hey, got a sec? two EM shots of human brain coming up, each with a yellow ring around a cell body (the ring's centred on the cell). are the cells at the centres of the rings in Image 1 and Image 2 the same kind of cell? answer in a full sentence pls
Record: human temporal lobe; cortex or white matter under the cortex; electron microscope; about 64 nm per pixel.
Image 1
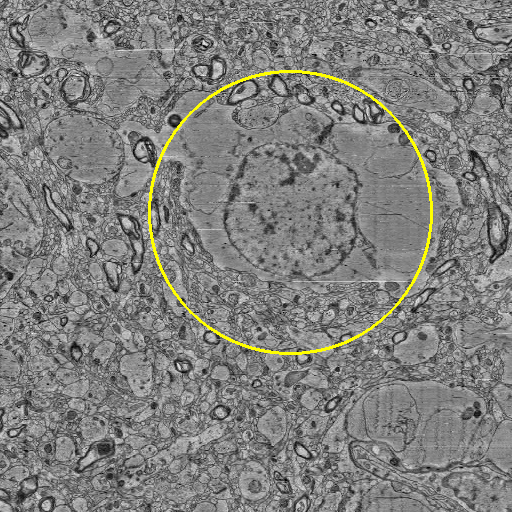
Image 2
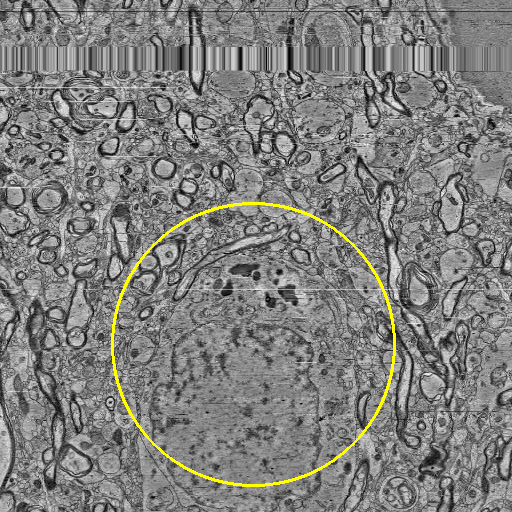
No, they are two kinds of cell.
